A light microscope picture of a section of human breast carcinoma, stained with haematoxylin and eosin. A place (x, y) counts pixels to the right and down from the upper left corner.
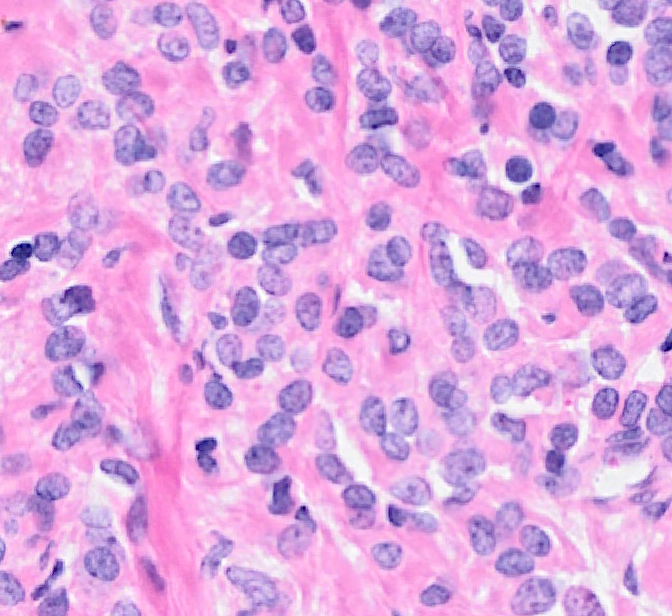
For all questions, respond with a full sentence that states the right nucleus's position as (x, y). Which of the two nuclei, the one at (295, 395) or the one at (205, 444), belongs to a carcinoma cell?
Lying within a carcinoma cell is the nucleus at (295, 395).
